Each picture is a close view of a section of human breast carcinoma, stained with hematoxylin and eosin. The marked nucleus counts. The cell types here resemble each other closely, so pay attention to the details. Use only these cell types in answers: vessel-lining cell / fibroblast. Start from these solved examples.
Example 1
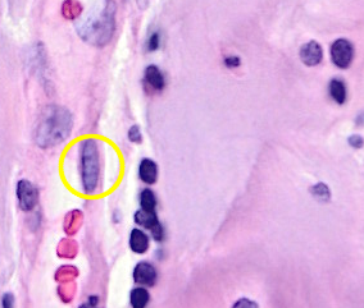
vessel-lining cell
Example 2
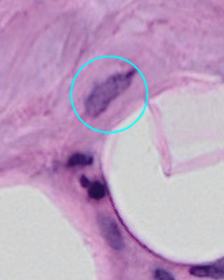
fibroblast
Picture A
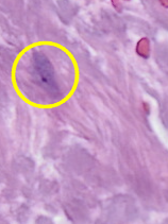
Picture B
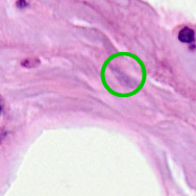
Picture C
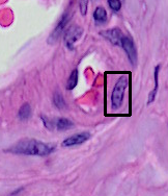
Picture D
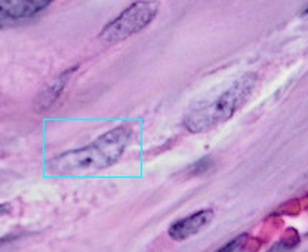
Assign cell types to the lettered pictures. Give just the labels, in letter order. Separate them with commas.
fibroblast, fibroblast, vessel-lining cell, fibroblast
